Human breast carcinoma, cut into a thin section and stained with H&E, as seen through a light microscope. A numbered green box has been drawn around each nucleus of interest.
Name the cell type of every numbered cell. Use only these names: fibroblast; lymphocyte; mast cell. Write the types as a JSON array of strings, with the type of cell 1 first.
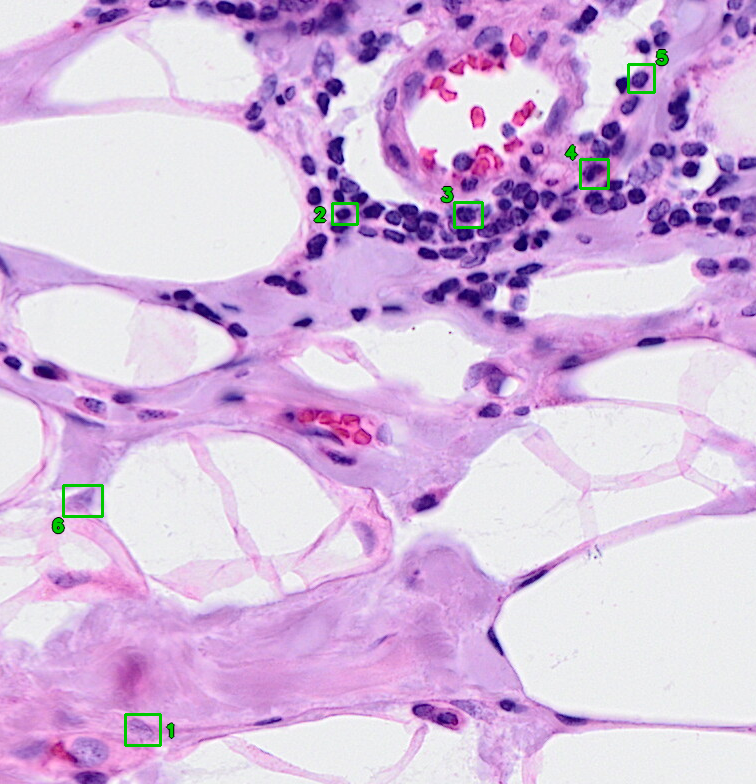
["fibroblast", "lymphocyte", "lymphocyte", "lymphocyte", "lymphocyte", "fibroblast"]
